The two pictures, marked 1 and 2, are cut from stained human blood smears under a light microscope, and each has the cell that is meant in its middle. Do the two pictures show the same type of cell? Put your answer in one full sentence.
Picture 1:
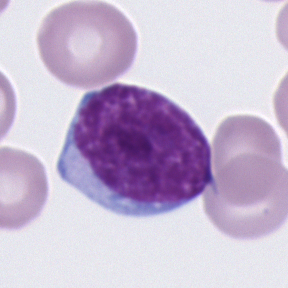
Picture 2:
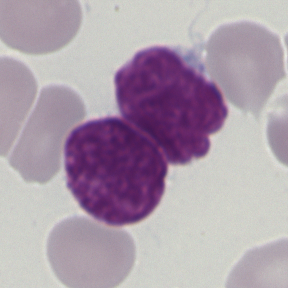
Yes, both cells are myeloblasts.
